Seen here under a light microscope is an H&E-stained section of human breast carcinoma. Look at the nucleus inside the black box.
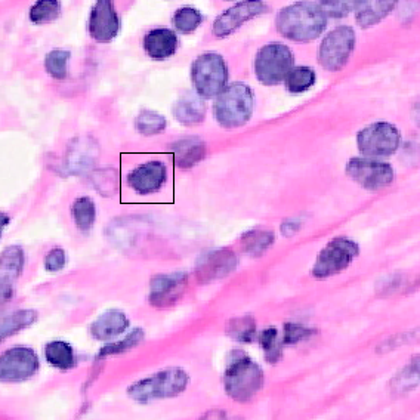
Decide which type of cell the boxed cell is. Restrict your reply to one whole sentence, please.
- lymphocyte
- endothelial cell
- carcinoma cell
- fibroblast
With respect to cell type, the boxed cell is a lymphocyte.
